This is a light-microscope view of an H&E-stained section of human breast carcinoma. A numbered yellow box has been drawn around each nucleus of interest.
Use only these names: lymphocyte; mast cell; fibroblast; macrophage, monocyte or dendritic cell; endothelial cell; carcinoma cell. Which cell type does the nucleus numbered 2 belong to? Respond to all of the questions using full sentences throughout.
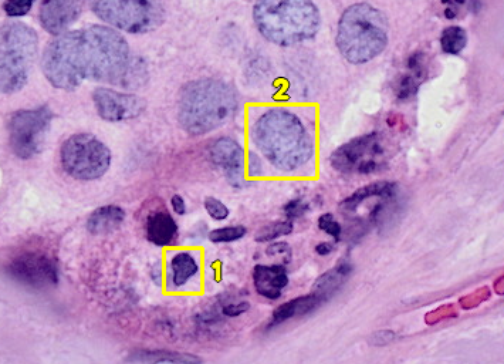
The cell that bears the number 2 is a carcinoma cell.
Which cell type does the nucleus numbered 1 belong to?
Among the marked cells, number 1 is a lymphocyte.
